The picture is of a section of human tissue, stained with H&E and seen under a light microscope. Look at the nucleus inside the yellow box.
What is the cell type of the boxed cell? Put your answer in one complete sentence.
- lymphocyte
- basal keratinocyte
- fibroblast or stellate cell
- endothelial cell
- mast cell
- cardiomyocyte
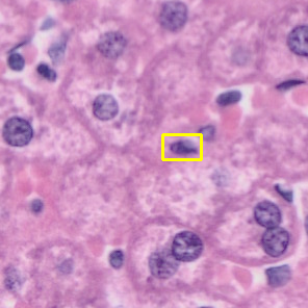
Cell type answer for this item: the boxed cell is a fibroblast or stellate cell.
